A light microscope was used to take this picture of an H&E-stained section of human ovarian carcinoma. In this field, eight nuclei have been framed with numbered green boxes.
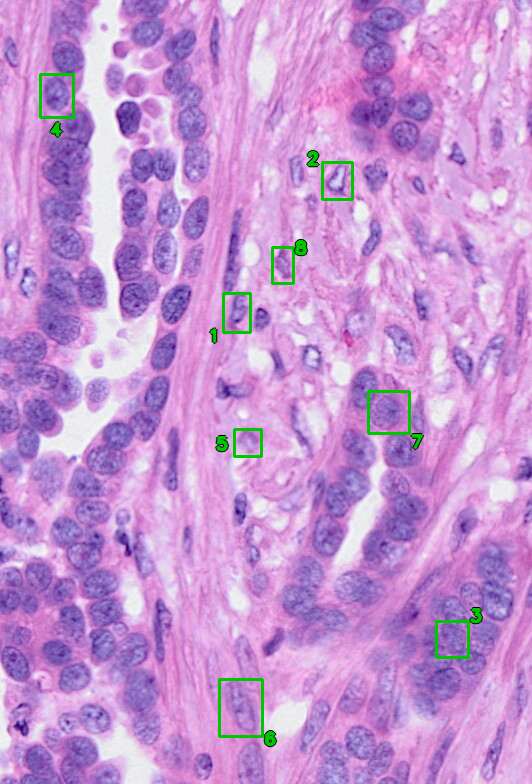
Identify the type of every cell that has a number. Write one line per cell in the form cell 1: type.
cell 1: fibroblast
cell 2: fibroblast
cell 3: carcinoma cell
cell 4: carcinoma cell
cell 5: fibroblast
cell 6: fibroblast
cell 7: carcinoma cell
cell 8: fibroblast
